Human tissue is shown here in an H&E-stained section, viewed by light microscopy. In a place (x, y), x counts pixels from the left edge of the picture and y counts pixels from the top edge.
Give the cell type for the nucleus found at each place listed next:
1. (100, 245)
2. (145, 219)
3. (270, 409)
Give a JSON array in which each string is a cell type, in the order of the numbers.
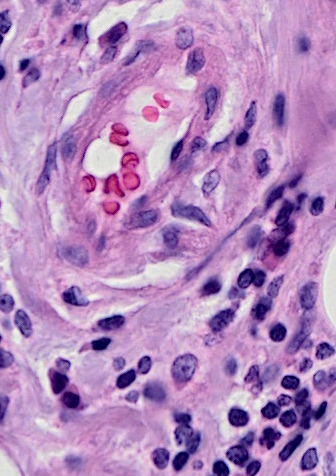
["endothelial cell", "endothelial cell", "lymphocyte"]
